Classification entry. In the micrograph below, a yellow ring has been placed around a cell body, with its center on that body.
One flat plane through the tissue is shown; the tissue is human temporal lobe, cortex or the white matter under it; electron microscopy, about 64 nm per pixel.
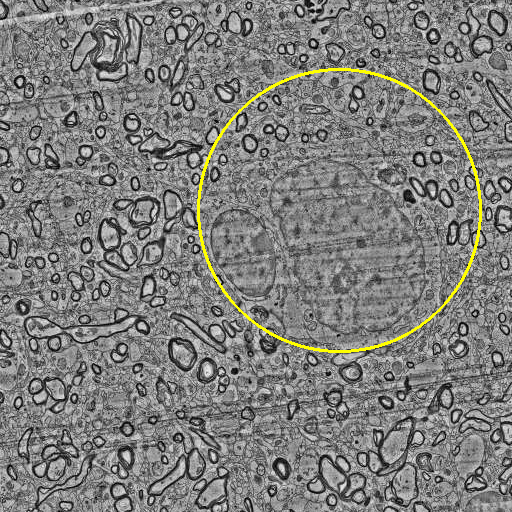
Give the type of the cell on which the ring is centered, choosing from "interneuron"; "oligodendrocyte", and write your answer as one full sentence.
The cell body at the center of the yellow ring belongs to an interneuron.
